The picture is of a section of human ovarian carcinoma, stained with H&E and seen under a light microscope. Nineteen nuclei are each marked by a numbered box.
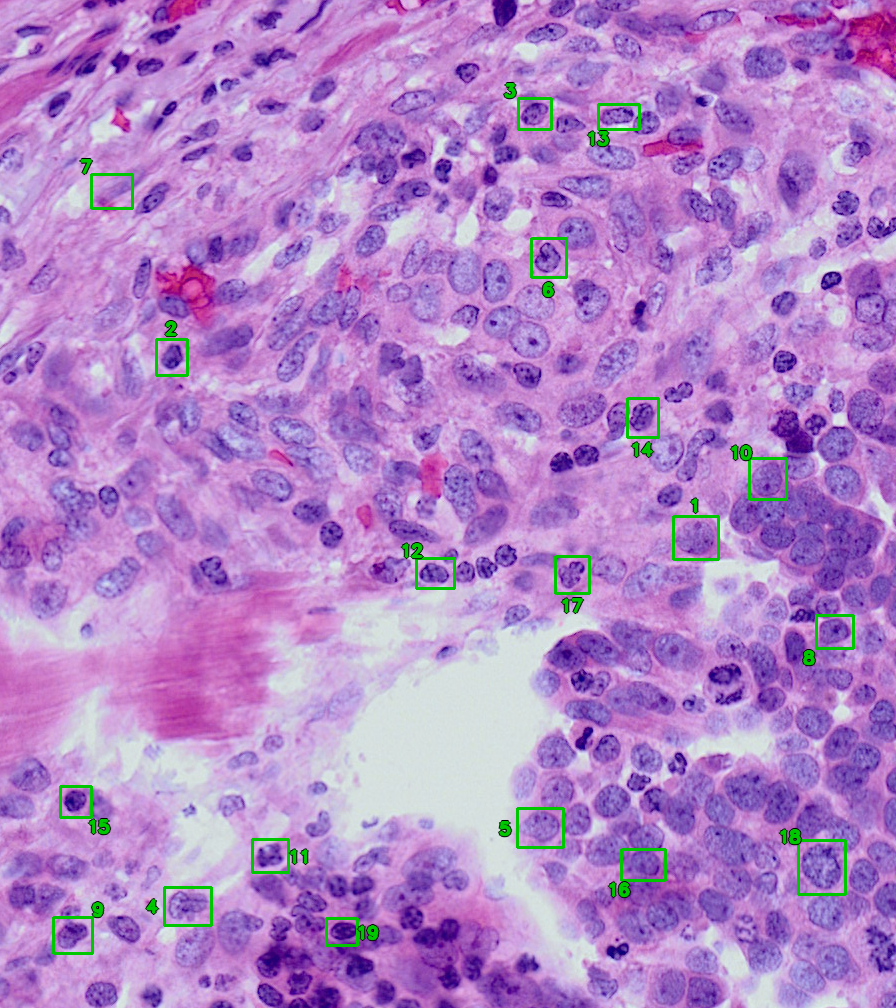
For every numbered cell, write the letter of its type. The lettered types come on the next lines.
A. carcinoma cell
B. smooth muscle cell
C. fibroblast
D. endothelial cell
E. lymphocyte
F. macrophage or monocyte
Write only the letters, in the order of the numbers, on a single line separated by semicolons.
A; E; F; F; A; F; C; A; E; A; E; E; F; E; E; A; E; A; E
